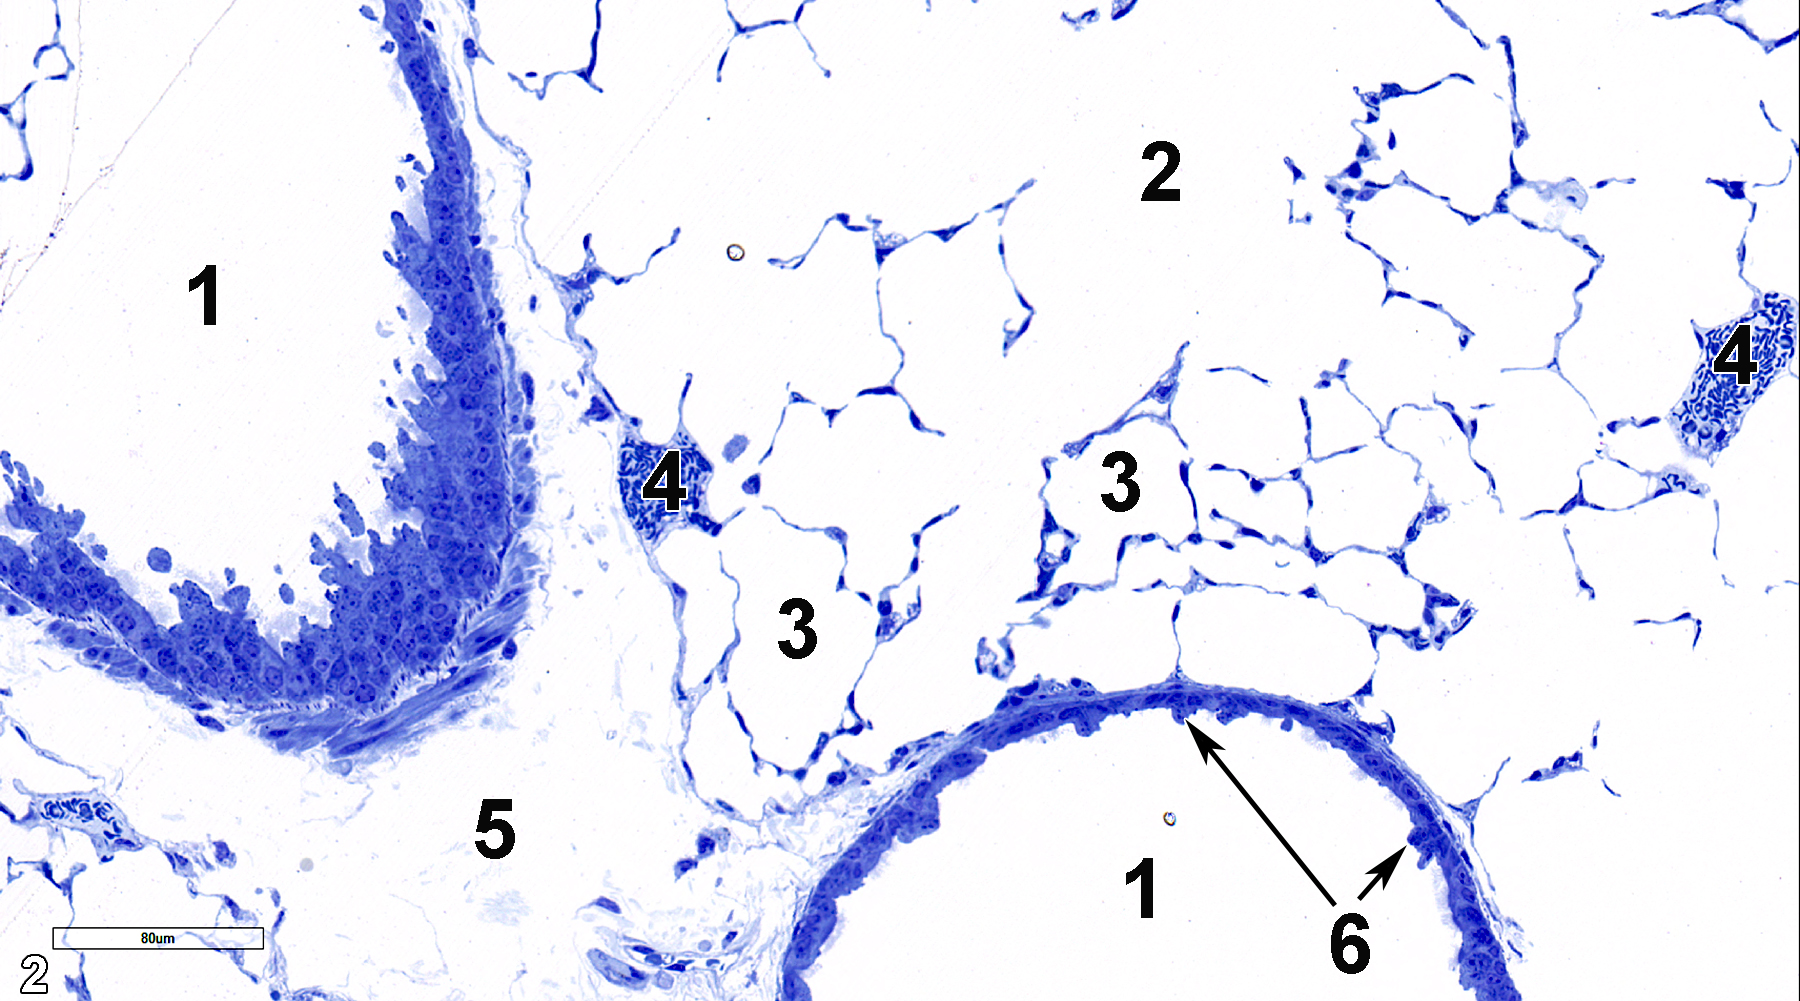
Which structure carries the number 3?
Alveoli.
